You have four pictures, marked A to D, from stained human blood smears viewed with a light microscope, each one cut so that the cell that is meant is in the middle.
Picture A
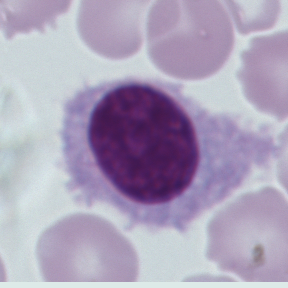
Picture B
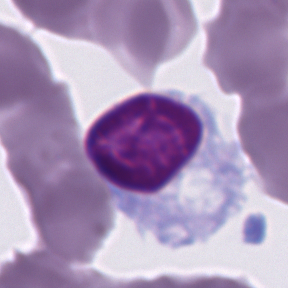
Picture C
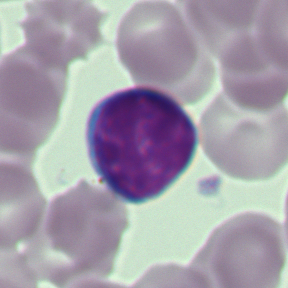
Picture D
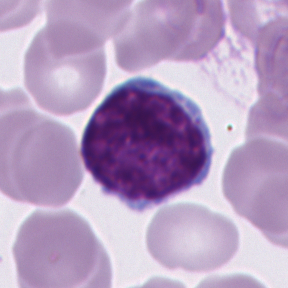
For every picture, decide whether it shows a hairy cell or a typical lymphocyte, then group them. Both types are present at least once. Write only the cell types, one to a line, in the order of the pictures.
hairy cell
hairy cell
typical lymphocyte
typical lymphocyte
